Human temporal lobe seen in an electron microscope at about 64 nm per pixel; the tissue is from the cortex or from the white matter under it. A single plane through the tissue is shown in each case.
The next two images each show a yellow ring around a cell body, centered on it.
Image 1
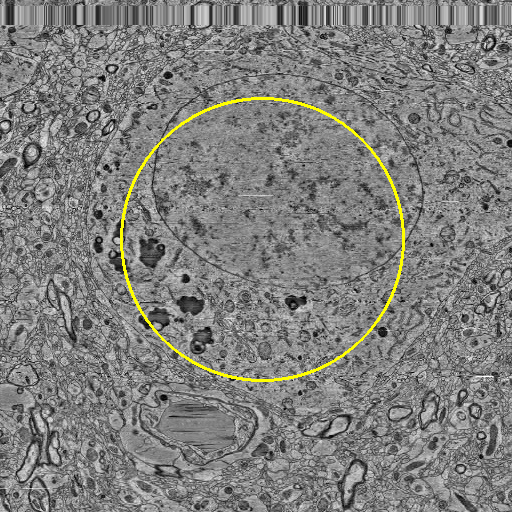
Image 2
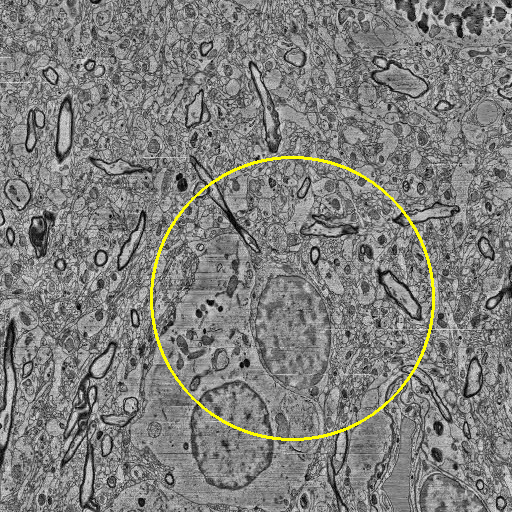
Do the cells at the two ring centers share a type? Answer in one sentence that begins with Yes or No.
No, across the two images the cells at the ring centers are of two types.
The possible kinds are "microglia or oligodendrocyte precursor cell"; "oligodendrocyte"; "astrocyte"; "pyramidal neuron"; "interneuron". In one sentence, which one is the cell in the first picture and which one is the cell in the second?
The cell ringed in the second picture is an oligodendrocyte, whereas the one ringed in the first is a pyramidal neuron.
